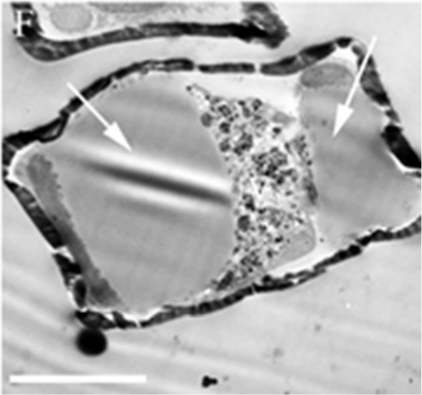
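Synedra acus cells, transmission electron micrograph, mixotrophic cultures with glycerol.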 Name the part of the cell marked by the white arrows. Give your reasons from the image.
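Two large smooth, homogeneous grey bodies fill most of the cell section. They lack internal membranes and contrast with the granular cytoplasm between them. They are enclosed by the dark angular cell wall.
Conclusion: lipid bodies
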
